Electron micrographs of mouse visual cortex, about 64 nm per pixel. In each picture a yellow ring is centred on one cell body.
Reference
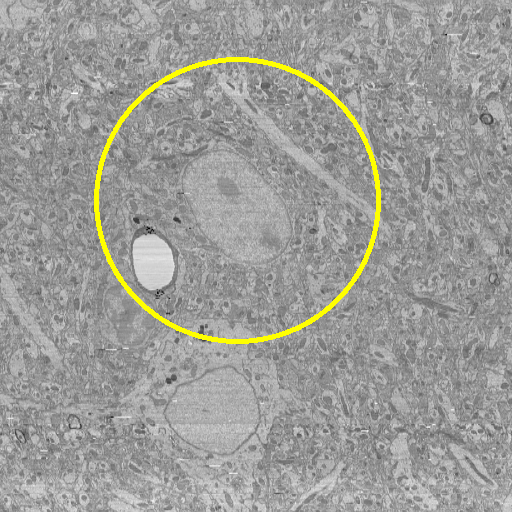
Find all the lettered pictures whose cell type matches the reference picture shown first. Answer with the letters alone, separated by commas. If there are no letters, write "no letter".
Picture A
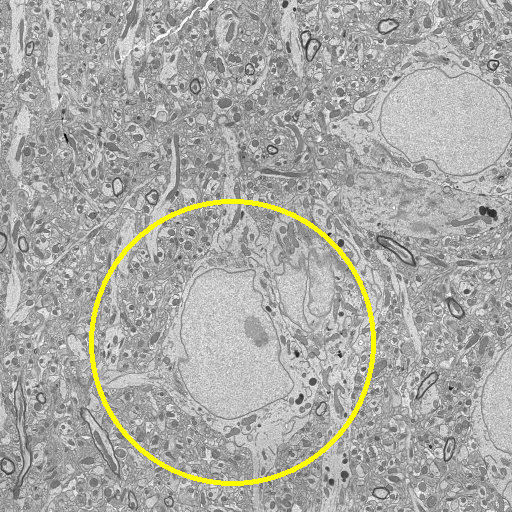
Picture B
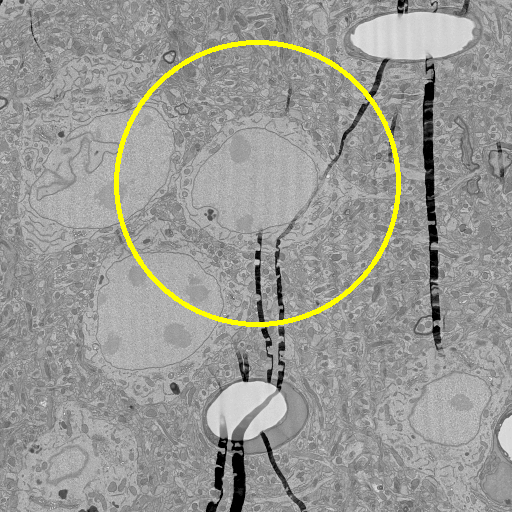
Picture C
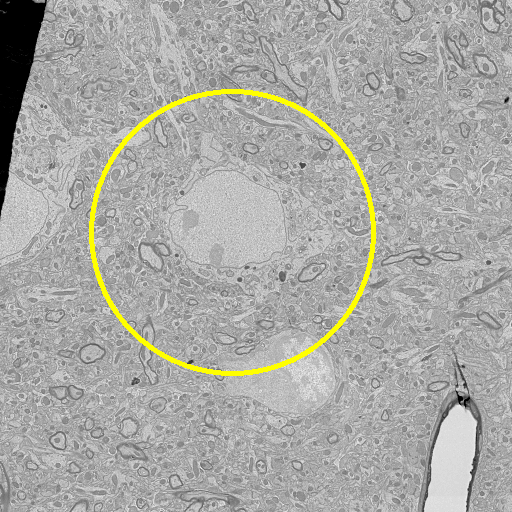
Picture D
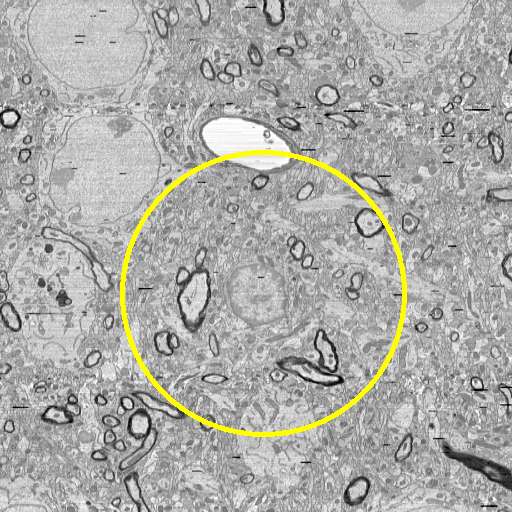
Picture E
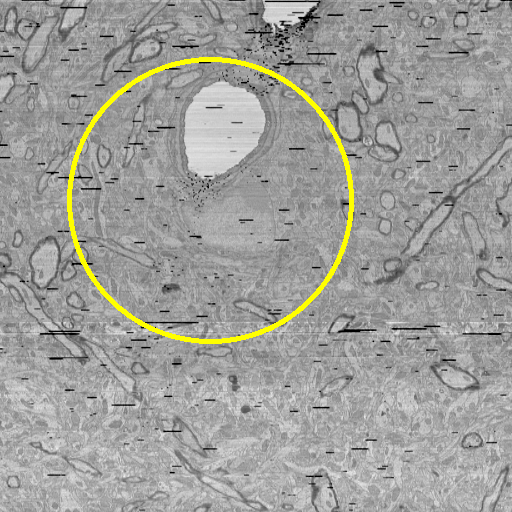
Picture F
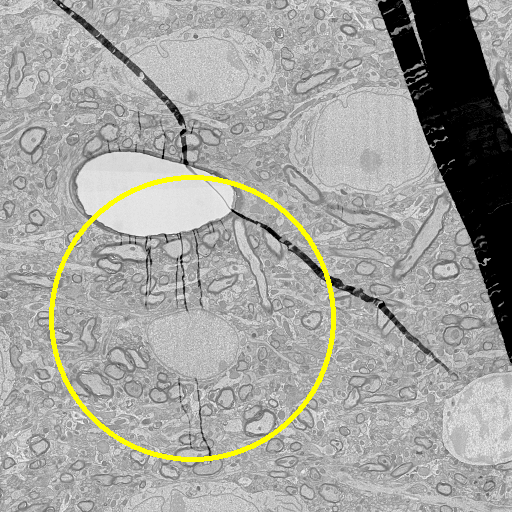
E, F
